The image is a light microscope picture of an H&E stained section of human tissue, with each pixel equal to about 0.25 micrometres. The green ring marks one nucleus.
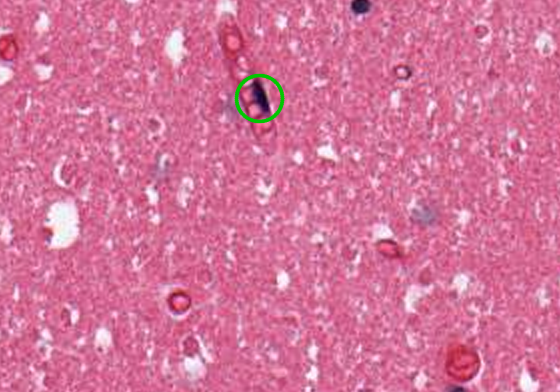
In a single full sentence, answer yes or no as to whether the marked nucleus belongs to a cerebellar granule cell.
No, the marked nucleus is not part of a cerebellar granule cell and instead belongs to a supporting cell.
